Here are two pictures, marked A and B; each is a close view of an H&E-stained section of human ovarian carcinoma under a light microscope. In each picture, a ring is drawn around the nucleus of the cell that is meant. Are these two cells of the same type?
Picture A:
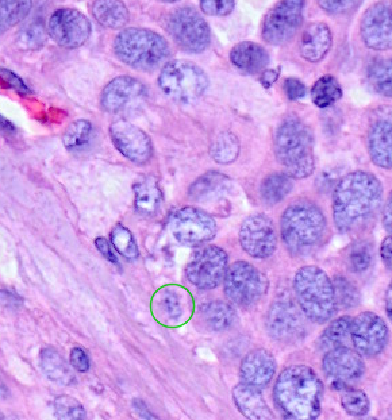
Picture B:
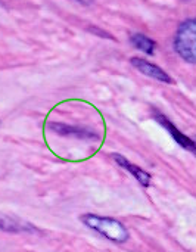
no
